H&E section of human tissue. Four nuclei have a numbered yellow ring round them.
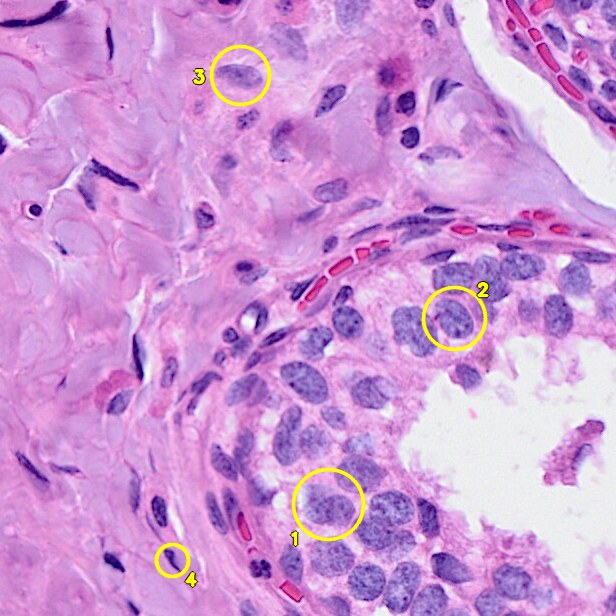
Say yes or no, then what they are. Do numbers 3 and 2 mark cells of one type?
No, cell 3 is a fibroblast, whereas cell 2, for its part, is a carcinoma cell.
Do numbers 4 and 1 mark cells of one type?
No, cell 4 is a fibroblast whereas cell 1 is a carcinoma cell.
